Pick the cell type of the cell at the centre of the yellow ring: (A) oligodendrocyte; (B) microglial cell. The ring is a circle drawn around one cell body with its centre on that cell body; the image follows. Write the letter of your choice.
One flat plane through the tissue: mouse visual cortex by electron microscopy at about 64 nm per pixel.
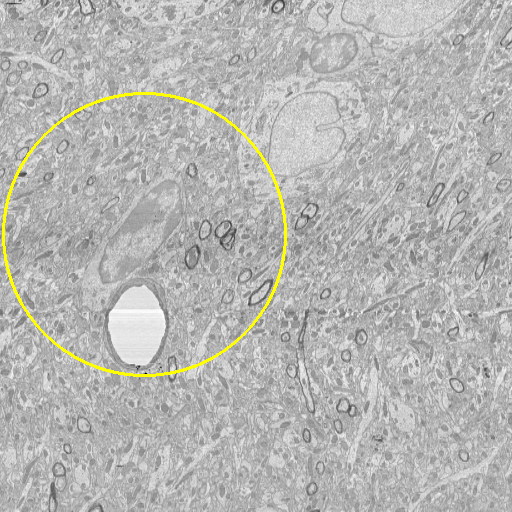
A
